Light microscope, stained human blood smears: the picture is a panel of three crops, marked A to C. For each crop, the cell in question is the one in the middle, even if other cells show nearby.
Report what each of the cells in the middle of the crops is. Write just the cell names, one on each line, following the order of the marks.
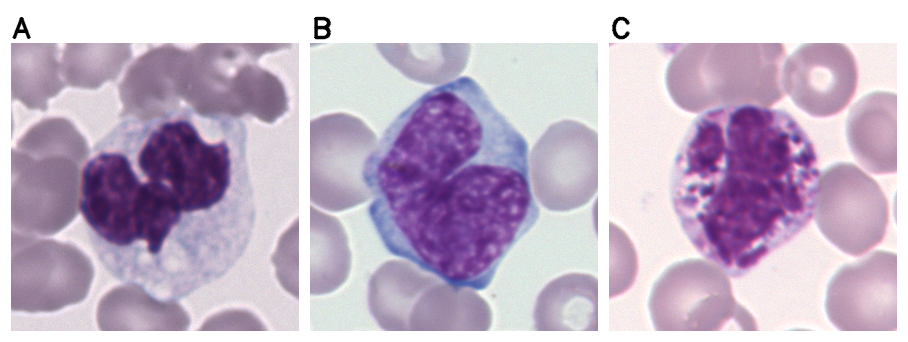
monocyte
blast
basophil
